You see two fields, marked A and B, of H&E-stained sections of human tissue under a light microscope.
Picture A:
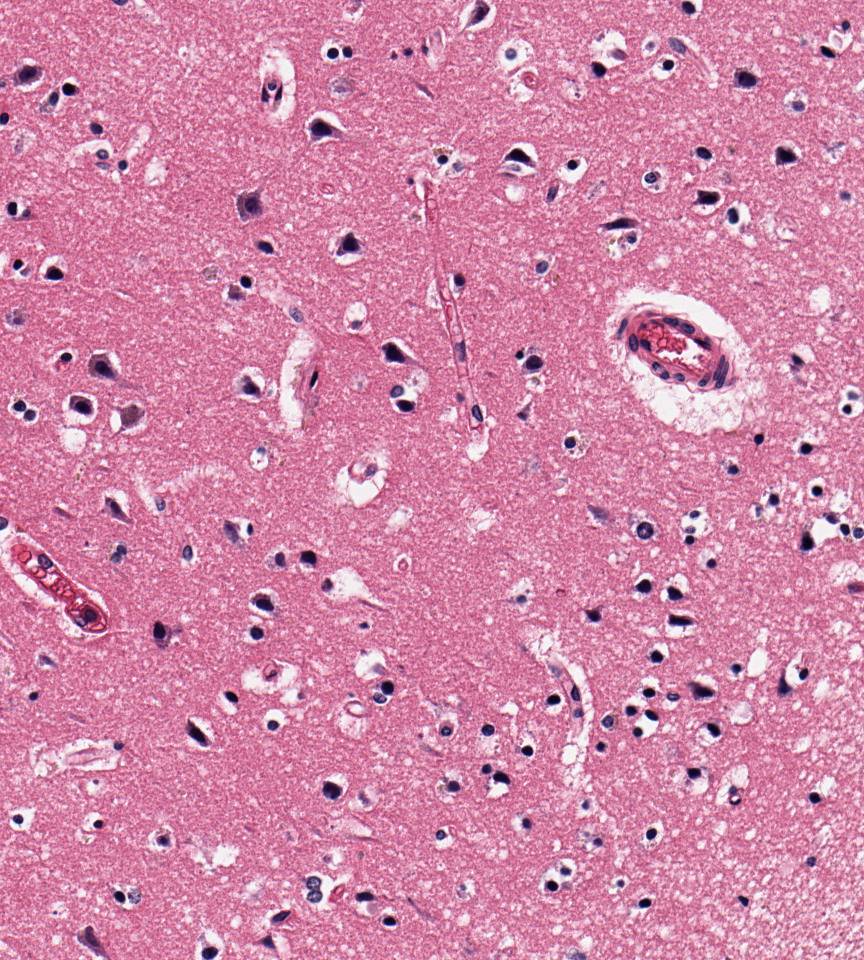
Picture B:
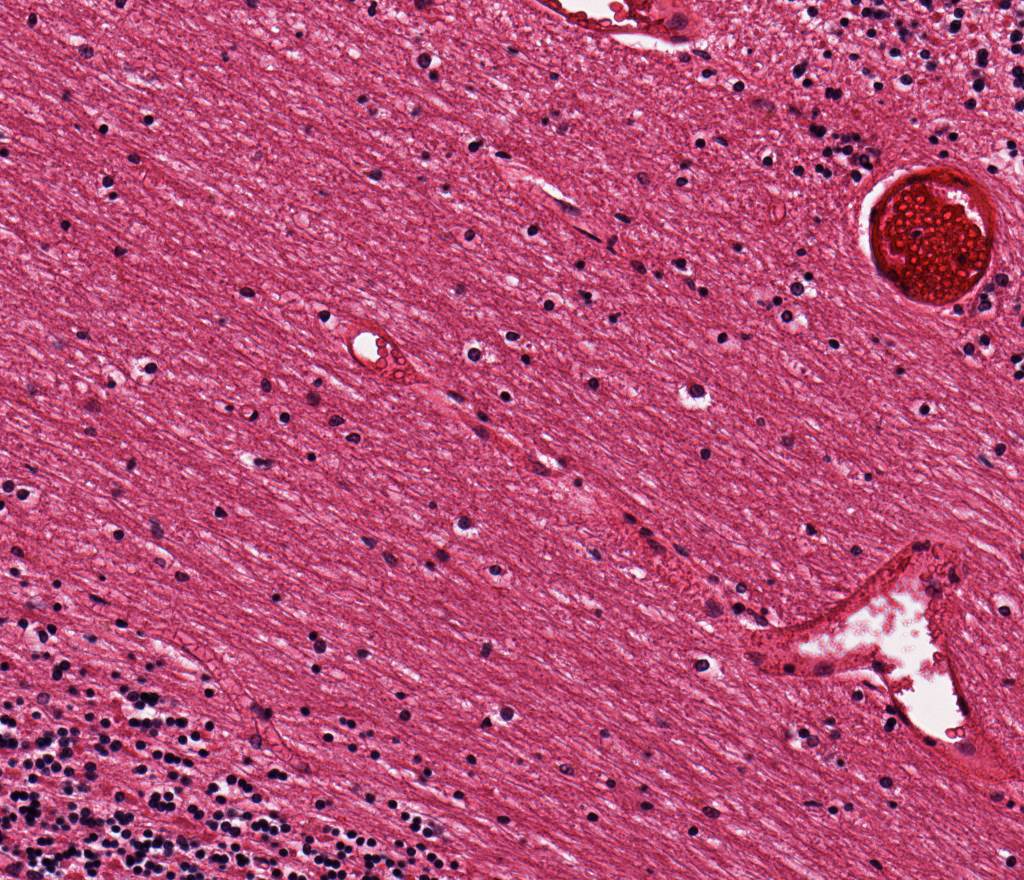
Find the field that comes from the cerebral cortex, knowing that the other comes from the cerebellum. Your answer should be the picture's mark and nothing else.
A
